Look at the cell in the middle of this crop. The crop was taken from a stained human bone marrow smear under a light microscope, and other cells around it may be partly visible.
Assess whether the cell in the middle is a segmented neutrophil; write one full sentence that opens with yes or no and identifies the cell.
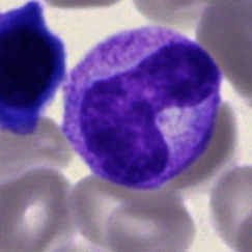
No, the central cell should be identified as a band neutrophil, not as a segmented neutrophil.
